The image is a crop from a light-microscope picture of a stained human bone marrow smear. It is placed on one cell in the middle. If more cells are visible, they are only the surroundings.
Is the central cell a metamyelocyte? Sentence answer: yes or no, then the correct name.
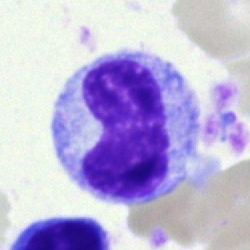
Yes, the middle cell is classified as a metamyelocyte.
